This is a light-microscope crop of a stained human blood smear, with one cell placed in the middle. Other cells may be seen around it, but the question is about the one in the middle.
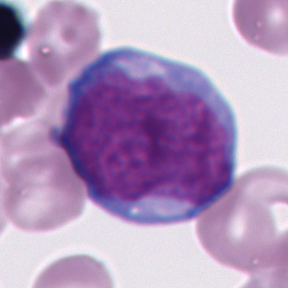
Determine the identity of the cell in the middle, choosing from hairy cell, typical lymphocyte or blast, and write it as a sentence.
By type, the central cell of the crop is a blast.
